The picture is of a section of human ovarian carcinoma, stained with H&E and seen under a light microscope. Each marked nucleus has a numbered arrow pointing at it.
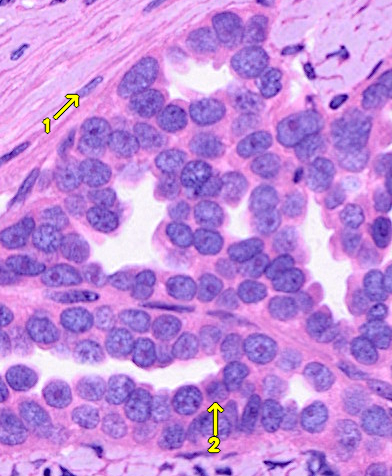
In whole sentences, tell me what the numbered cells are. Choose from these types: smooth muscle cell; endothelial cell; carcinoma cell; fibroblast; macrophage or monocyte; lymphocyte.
Cell 1 is a fibroblast and cell 2 is a carcinoma cell.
